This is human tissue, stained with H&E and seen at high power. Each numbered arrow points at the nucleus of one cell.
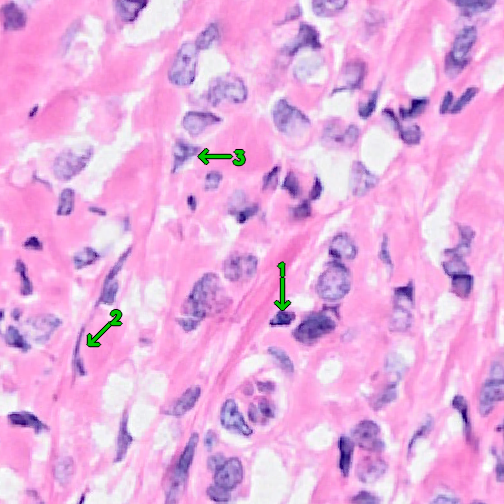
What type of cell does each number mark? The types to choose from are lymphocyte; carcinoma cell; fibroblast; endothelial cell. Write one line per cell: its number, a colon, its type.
1: lymphocyte
2: fibroblast
3: fibroblast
